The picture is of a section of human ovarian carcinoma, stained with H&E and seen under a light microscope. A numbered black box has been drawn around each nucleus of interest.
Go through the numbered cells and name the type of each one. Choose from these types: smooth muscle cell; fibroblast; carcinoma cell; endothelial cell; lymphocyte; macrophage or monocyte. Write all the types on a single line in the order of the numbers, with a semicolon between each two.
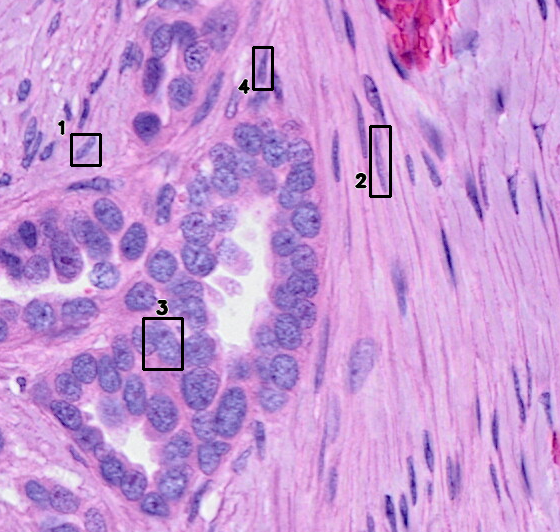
fibroblast; fibroblast; carcinoma cell; fibroblast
